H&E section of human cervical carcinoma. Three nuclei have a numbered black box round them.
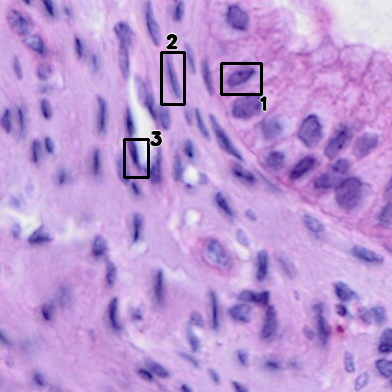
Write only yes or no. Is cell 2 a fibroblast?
yes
